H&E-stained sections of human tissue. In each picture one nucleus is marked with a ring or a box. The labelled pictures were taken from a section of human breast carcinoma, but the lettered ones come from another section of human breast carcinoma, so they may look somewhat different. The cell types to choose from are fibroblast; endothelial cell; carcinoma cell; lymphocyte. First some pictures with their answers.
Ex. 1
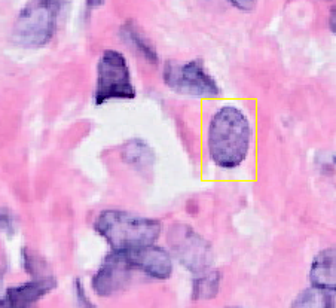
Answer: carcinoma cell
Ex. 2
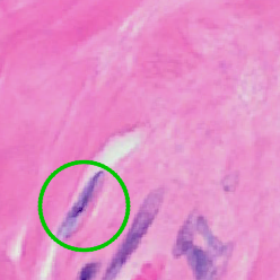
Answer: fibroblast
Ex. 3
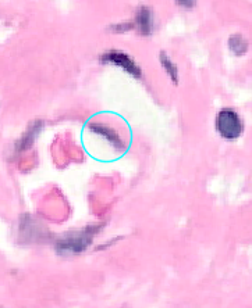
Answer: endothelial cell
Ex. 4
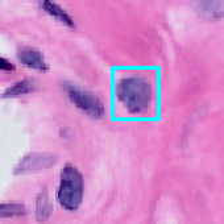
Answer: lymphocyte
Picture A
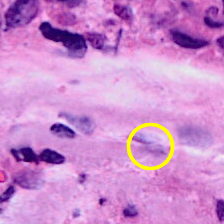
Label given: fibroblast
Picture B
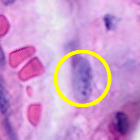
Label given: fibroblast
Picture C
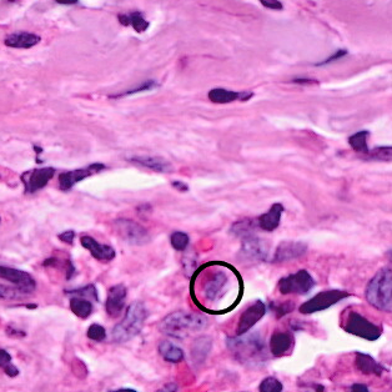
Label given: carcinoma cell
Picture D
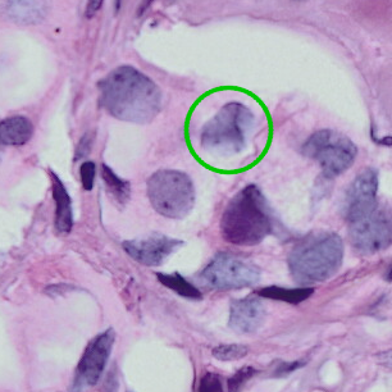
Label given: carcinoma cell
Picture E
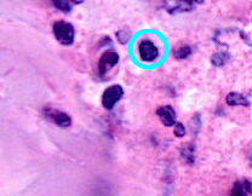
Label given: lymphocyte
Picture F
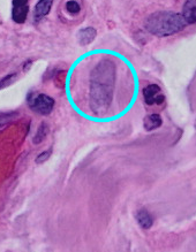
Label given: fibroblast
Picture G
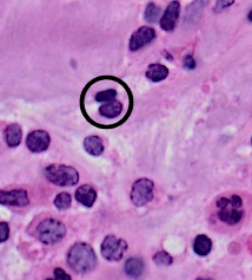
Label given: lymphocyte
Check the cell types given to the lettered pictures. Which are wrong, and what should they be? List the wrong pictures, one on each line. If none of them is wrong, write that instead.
C should be endothelial cell, not carcinoma cell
